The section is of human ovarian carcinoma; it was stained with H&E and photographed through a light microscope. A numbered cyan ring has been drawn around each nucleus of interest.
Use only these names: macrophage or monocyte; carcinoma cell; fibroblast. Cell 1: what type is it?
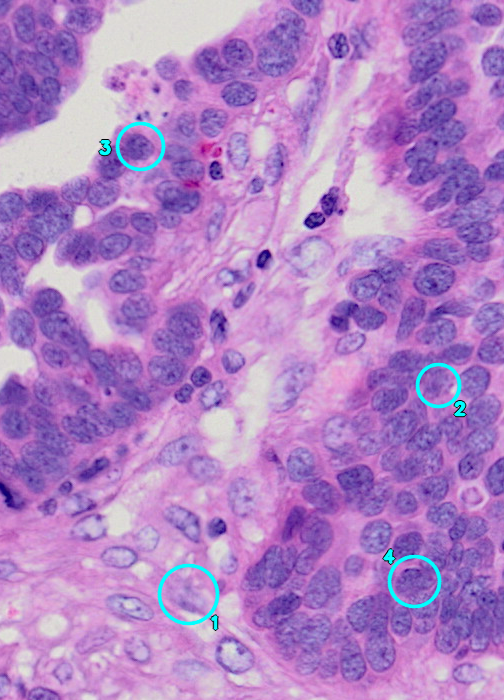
fibroblast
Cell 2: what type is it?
carcinoma cell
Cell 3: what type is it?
carcinoma cell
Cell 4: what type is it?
carcinoma cell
